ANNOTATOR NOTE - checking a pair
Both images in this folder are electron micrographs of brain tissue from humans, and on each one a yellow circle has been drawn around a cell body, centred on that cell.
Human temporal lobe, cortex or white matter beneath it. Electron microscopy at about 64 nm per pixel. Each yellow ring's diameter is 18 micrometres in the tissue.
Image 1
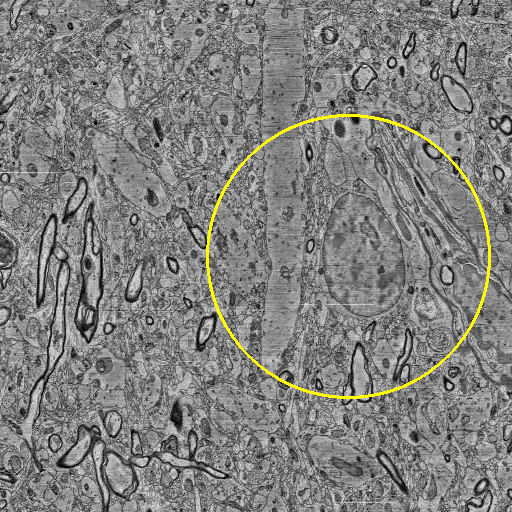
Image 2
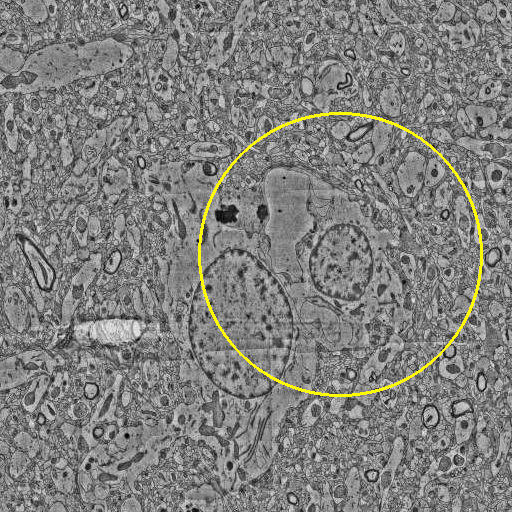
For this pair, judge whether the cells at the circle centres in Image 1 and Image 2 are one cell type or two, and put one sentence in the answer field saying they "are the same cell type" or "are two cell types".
For this pair, the cells at the circle centres in Images 1 and 2 are two cell types.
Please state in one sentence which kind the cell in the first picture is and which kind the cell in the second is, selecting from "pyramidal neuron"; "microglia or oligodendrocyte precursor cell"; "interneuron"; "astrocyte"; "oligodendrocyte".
The first ringed cell is an oligodendrocyte, the second ringed cell an astrocyte.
